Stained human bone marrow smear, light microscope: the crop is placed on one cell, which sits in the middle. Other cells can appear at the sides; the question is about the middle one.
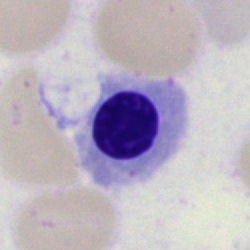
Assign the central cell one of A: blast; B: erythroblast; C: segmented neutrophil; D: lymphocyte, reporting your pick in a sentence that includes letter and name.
The middle of the crop contains an erythroblast, so option B is right.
